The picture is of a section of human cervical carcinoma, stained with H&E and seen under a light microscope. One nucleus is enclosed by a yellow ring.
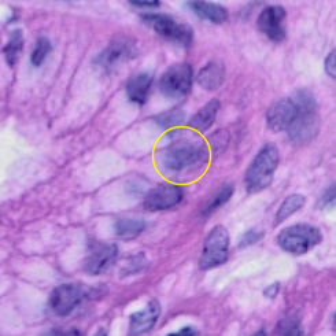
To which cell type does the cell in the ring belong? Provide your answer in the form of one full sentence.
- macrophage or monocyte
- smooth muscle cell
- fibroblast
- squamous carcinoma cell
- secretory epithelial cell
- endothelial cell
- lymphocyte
Cytologically, the cell in the ring is to be regarded as a secretory epithelial cell.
